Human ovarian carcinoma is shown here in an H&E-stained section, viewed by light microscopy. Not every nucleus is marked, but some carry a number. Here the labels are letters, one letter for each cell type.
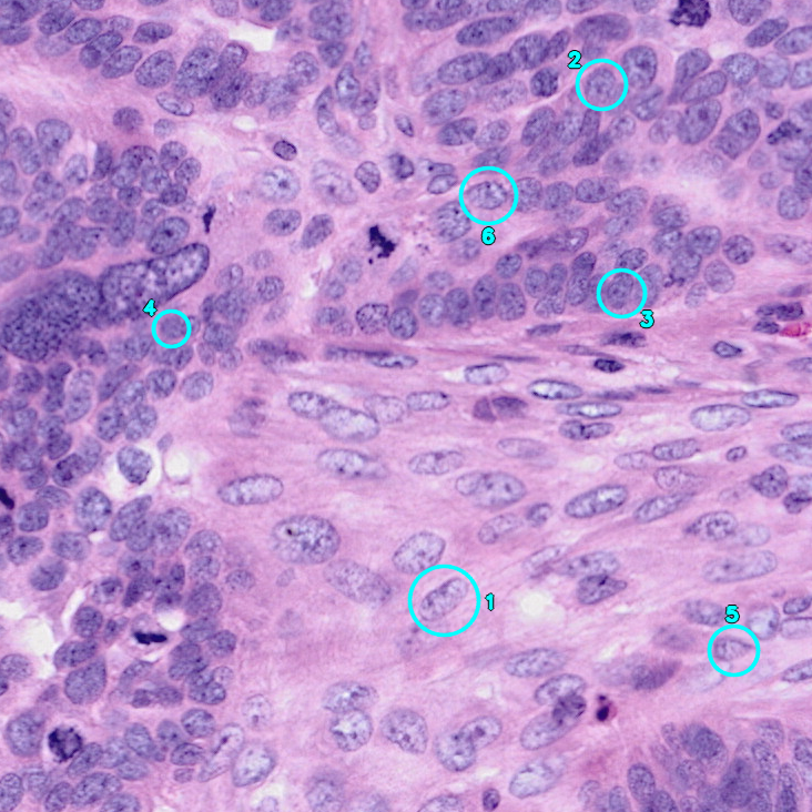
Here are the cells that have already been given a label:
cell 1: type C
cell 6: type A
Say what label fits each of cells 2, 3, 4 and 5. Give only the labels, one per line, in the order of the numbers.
type A
type A
type A
type C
